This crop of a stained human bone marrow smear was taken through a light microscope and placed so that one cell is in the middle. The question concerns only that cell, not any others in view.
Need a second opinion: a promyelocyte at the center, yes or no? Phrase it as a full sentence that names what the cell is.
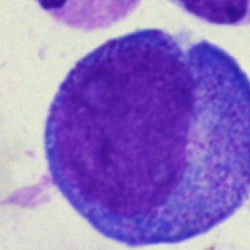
Yes, in this crop the cell in the middle is a promyelocyte.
